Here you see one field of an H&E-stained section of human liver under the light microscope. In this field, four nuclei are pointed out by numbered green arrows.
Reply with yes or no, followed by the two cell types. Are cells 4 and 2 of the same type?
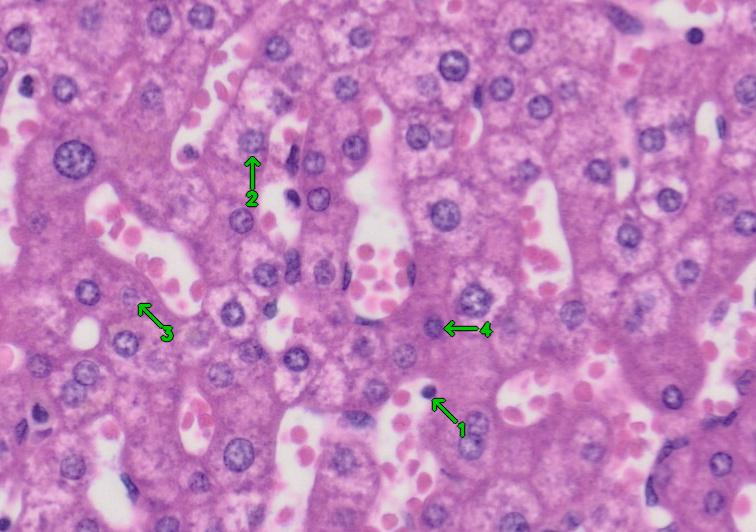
Yes, cells 4 and 2 are both hepatocytes and thus of one type.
